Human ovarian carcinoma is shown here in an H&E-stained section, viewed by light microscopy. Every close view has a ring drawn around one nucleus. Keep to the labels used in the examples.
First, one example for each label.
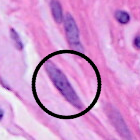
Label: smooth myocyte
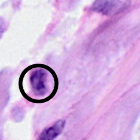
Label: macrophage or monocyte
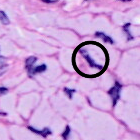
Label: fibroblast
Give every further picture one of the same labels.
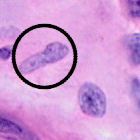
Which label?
smooth myocyte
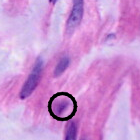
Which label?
smooth myocyte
